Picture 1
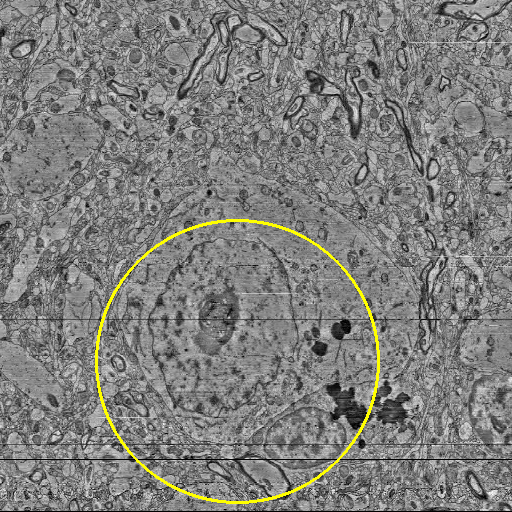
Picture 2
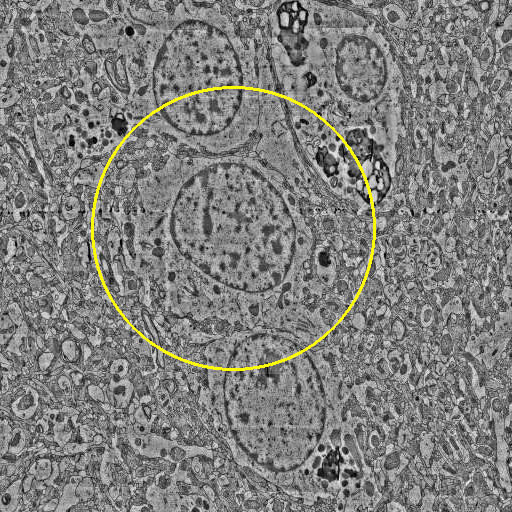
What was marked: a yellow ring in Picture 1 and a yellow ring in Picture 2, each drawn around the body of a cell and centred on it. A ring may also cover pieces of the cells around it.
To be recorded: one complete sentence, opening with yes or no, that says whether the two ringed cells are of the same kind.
No, the two ringed cells are of two kinds.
